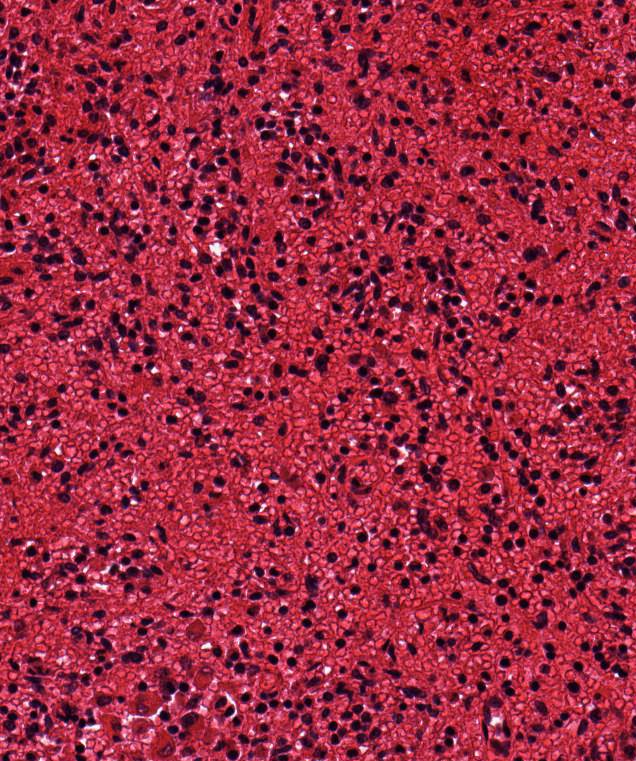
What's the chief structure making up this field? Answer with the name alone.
red pulp of the spleen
